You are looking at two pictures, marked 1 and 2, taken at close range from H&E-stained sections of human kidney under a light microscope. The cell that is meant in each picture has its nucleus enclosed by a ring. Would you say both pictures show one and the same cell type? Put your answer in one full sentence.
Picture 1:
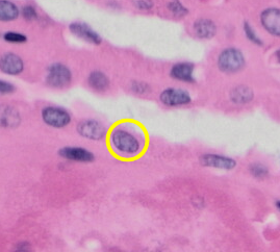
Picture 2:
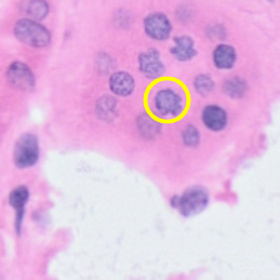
Yes, both cells are “loop of Henle or distal tubule cells”.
